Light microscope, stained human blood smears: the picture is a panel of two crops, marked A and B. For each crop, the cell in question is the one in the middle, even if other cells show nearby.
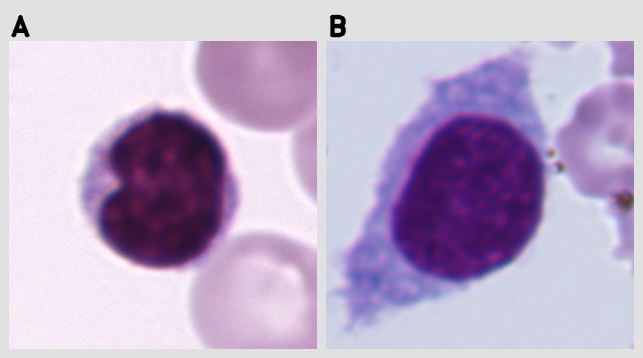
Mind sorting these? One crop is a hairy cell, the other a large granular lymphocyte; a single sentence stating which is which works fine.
In crop A, a large granular lymphocyte is present; in crop B, a hairy cell is present.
